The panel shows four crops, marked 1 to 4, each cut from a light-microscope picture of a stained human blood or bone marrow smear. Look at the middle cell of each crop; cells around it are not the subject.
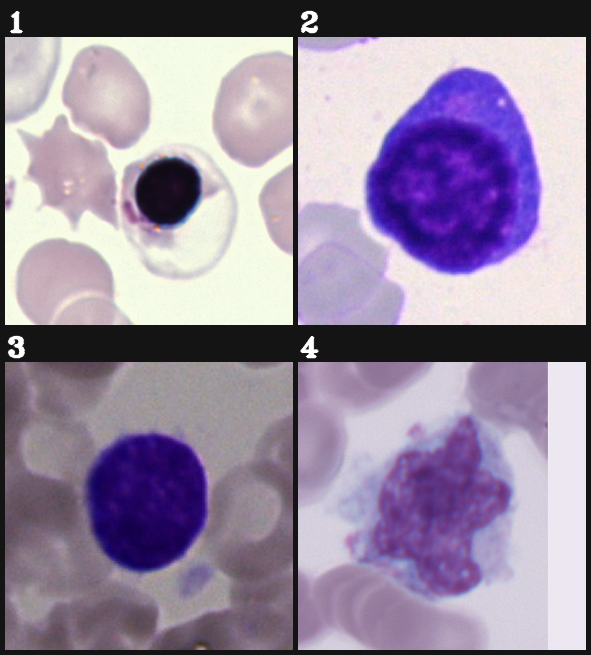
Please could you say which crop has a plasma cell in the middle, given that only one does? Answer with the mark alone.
2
